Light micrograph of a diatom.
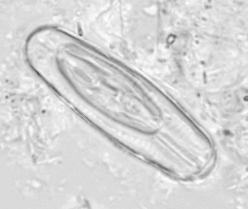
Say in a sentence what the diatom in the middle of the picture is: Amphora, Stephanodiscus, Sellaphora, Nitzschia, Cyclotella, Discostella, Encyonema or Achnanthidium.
This is Sellaphora.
